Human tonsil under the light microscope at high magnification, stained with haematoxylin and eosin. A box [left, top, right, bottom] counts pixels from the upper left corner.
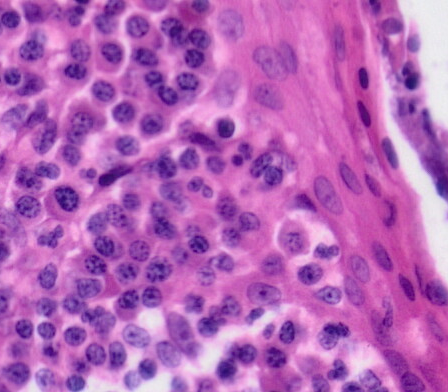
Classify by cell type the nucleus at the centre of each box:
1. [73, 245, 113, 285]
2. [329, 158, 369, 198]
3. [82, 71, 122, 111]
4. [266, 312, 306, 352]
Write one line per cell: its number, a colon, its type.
1: plasma cell
2: squamous epithelial cell
3: plasma cell
4: plasma cell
